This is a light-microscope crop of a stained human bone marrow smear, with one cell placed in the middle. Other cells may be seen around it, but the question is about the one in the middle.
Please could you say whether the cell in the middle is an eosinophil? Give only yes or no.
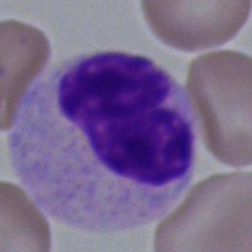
no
